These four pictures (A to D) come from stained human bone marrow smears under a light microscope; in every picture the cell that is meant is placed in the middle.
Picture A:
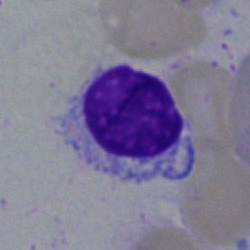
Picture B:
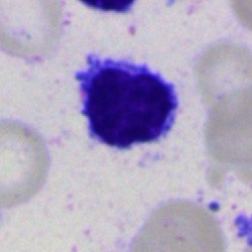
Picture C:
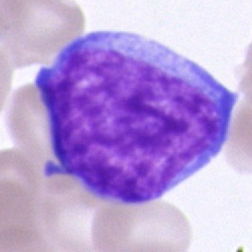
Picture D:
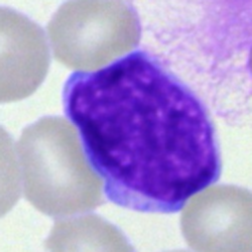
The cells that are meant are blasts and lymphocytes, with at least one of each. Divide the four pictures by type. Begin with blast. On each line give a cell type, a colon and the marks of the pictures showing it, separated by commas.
blast: C, D
lymphocyte: A, B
